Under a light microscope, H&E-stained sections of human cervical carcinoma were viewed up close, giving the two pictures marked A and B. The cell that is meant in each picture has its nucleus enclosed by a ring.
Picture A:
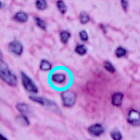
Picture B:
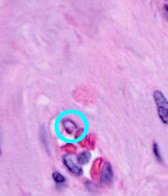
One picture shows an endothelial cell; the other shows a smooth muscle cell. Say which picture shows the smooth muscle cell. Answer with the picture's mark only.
A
